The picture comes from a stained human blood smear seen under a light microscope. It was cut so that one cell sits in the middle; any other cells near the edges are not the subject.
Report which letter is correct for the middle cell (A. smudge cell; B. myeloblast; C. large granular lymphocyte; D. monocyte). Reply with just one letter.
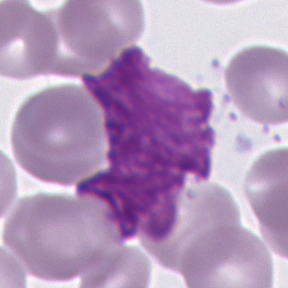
A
